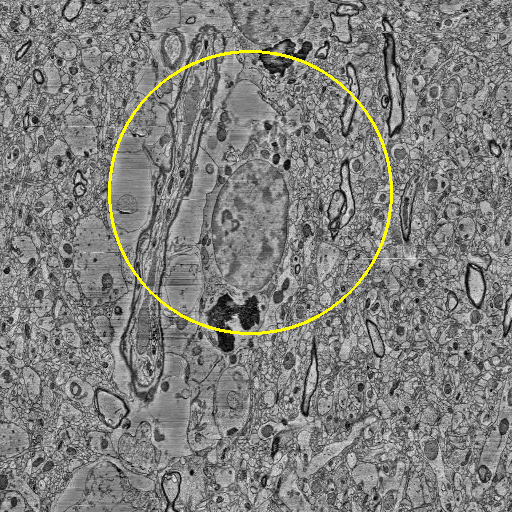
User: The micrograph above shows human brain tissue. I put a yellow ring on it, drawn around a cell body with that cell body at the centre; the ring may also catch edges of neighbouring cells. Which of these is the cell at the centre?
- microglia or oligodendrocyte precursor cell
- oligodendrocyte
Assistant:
oligodendrocyte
